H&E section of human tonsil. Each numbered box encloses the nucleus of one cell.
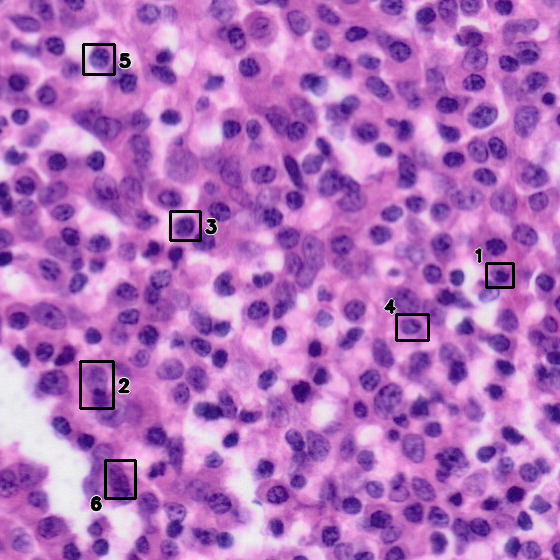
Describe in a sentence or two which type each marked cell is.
Cells 1, 3, 4 and 5 are plasma cells. Cells 2 and 6 are squamous epithelial cells.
